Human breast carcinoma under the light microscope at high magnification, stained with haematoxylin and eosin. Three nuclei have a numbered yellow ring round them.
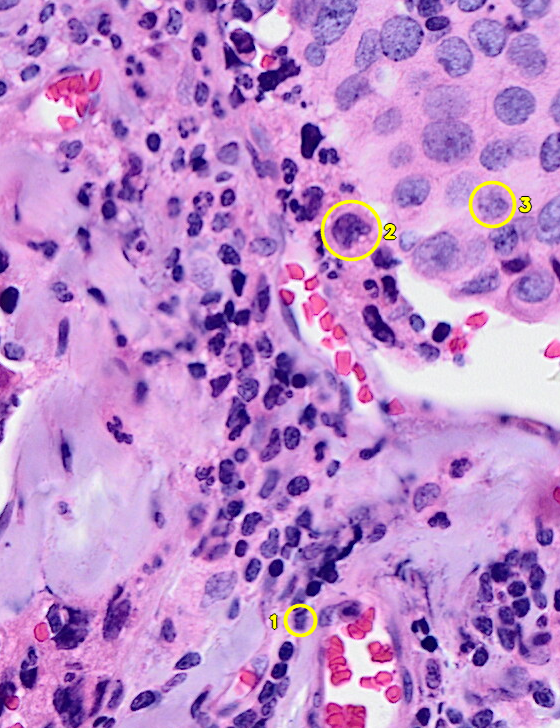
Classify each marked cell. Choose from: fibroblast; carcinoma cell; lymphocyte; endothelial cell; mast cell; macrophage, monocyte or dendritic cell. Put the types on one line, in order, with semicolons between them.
lymphocyte; carcinoma cell; carcinoma cell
